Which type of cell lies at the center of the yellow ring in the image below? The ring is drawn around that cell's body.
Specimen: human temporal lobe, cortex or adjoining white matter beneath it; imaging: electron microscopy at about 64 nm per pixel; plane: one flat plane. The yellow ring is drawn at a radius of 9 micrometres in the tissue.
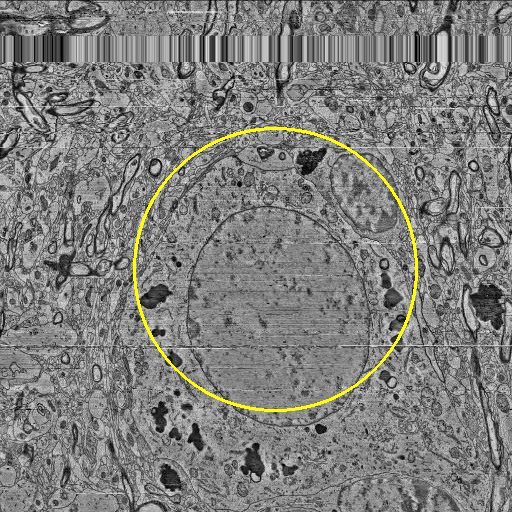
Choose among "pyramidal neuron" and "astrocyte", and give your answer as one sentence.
The cell body at the center belongs to a pyramidal neuron.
